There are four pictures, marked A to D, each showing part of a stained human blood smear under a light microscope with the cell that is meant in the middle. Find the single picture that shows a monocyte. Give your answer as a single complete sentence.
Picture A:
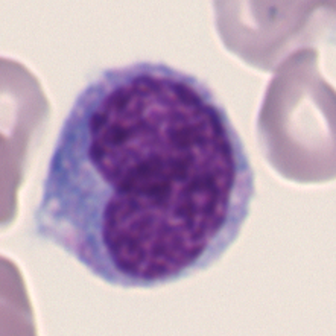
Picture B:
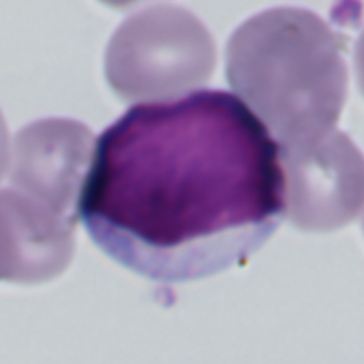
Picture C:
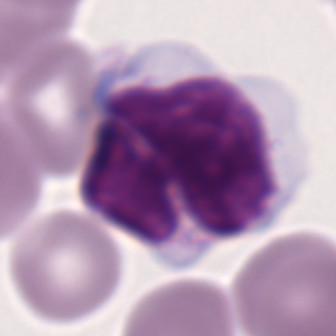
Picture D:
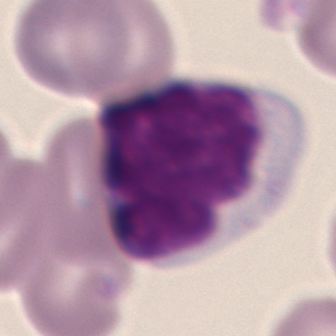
It is picture A that shows the monocyte.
